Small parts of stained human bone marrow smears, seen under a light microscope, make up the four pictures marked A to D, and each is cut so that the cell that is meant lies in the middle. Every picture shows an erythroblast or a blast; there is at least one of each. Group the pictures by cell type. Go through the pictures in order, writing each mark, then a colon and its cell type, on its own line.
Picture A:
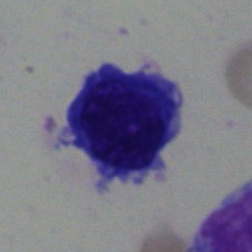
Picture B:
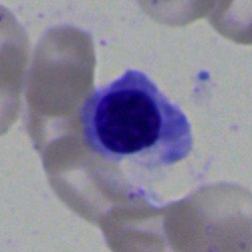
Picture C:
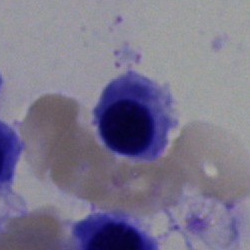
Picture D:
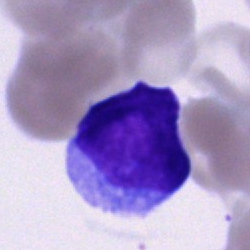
A: erythroblast
B: erythroblast
C: erythroblast
D: blast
